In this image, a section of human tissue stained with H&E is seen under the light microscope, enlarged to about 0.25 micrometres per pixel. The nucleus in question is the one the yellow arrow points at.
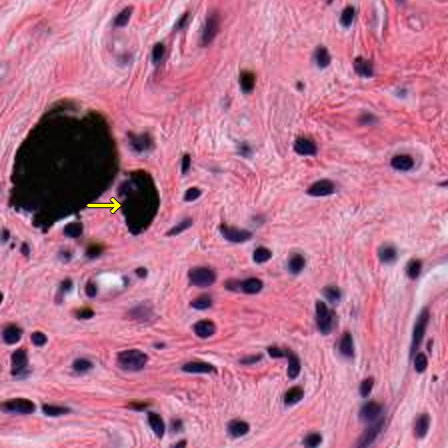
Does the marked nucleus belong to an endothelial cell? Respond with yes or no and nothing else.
no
